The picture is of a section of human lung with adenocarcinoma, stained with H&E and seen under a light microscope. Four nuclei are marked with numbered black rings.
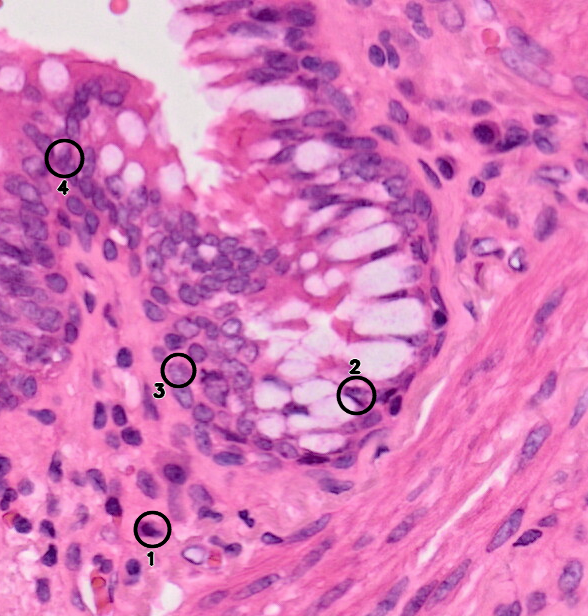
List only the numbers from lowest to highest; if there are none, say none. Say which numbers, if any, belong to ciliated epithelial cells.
2, 3, 4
